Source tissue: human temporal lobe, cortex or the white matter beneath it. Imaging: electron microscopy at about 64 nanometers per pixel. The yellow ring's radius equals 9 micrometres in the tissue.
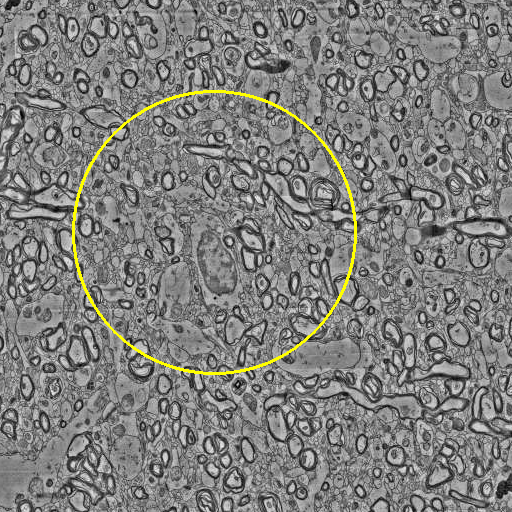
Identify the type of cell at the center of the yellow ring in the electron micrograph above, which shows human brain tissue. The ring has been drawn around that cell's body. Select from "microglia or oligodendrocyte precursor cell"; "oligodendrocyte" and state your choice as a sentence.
The yellow ring is centered on the body of a microglial cell or oligodendrocyte precursor cell.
